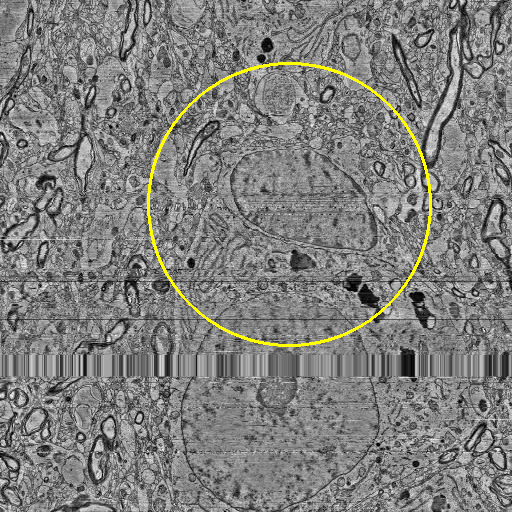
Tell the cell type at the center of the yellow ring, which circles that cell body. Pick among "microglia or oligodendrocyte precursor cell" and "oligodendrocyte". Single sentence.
The ring is centered on the body of a microglial cell or oligodendrocyte precursor cell.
